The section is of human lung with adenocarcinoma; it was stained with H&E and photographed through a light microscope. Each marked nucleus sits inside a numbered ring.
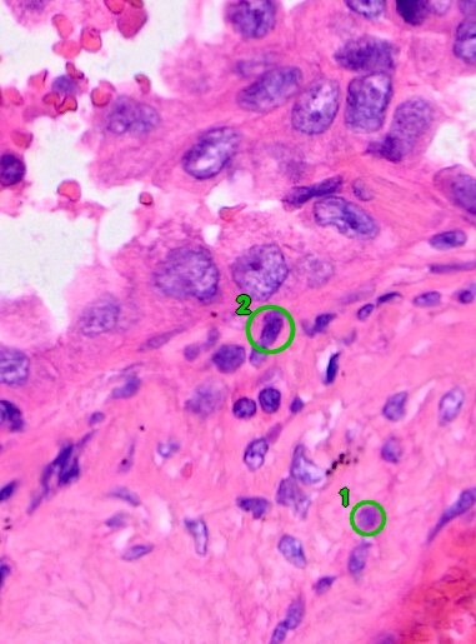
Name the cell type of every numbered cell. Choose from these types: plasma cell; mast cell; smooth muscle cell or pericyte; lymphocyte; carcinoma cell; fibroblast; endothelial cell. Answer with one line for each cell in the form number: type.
1: smooth muscle cell or pericyte
2: lymphocyte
